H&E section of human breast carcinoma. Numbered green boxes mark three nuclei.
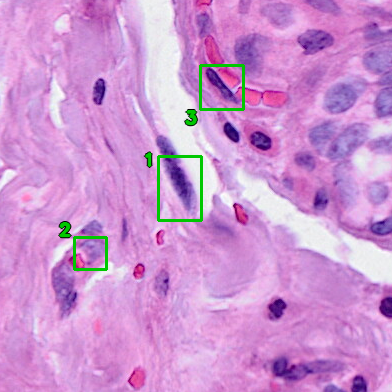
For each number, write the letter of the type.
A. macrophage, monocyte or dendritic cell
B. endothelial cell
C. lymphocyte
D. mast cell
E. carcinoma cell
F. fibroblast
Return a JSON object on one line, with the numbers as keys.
{"1": "F", "2": "B", "3": "B"}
